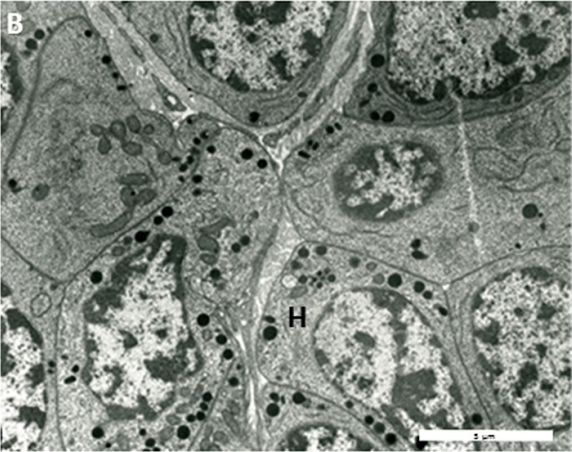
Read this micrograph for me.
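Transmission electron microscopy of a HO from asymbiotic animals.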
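Closely packed hemocytes fill the field, each with a large rounded nucleus with clumps of dark chromatin along its rim and in patches. Their cytoplasm holds many small round, very electron-dense granules and some mitochondria, and thin membranes with narrow clefts separate neighbouring cells.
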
